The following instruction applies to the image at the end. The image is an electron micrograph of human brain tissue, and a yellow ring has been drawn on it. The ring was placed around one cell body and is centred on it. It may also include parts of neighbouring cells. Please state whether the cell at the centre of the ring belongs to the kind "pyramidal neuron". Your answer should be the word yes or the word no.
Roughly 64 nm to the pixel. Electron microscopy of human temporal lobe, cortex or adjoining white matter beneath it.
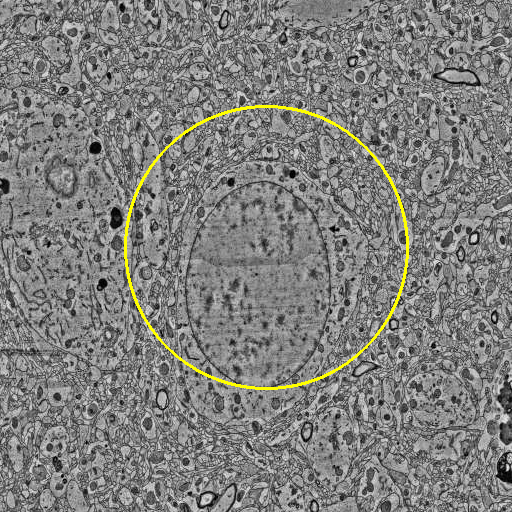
yes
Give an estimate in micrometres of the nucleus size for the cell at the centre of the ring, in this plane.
Approximately 13 micrometres long and 9 micrometres wide, in this plane.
